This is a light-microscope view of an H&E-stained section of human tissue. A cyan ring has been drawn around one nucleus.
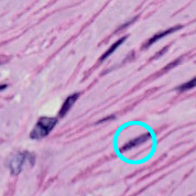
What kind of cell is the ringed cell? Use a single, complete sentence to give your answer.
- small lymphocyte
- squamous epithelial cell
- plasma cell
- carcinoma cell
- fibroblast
By its classification, the ringed cell is a fibroblast.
